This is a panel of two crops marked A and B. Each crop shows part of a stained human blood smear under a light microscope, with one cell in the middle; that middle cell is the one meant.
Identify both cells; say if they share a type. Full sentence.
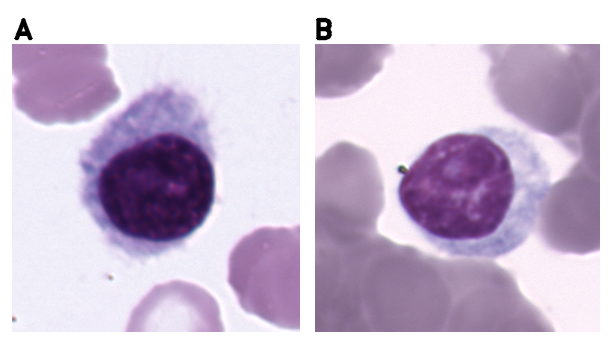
Yes, the same answer goes for both crops, namely hairy cells.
